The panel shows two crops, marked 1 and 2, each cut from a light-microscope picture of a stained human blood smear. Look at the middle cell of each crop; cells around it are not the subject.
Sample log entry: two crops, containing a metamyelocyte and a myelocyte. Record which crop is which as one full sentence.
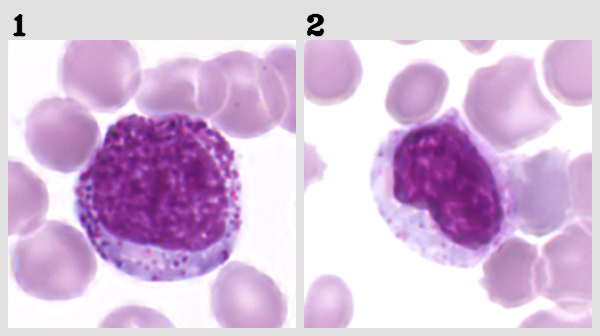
The crop marked 1 shows a myelocyte; the crop marked 2 shows a metamyelocyte.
